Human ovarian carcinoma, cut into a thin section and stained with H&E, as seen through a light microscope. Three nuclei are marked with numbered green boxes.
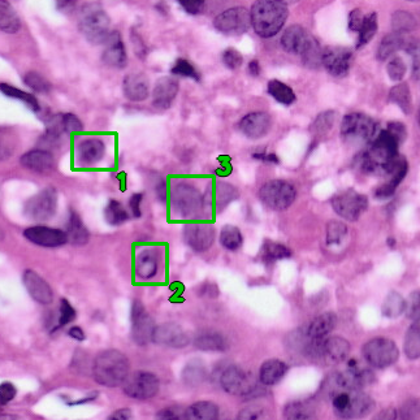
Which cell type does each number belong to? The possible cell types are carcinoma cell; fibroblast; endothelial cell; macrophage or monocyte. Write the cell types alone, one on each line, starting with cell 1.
macrophage or monocyte
endothelial cell
carcinoma cell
